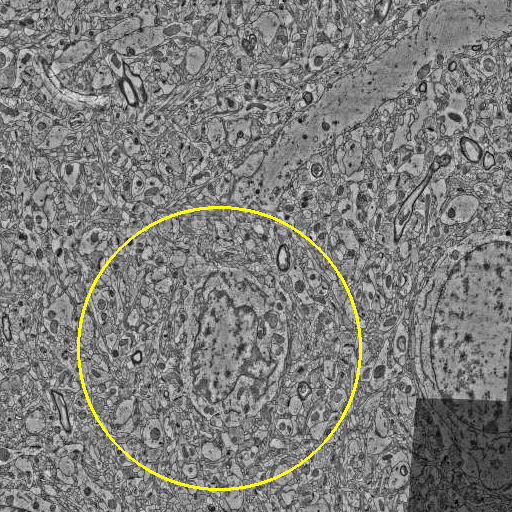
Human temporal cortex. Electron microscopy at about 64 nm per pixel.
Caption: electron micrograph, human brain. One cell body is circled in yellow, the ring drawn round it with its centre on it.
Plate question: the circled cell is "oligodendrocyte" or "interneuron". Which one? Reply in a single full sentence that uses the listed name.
The yellow ring on the plate is centred on an interneuron, going by the listed names.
